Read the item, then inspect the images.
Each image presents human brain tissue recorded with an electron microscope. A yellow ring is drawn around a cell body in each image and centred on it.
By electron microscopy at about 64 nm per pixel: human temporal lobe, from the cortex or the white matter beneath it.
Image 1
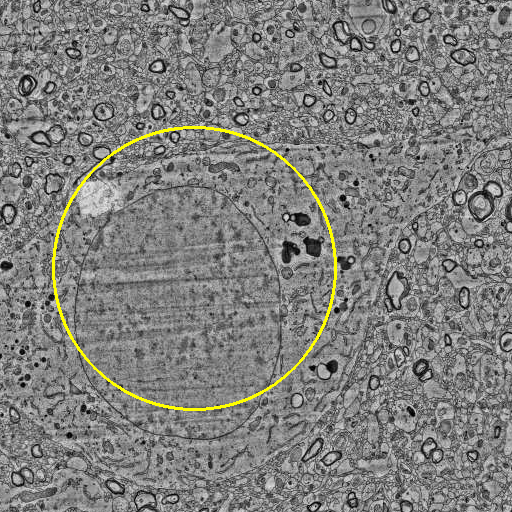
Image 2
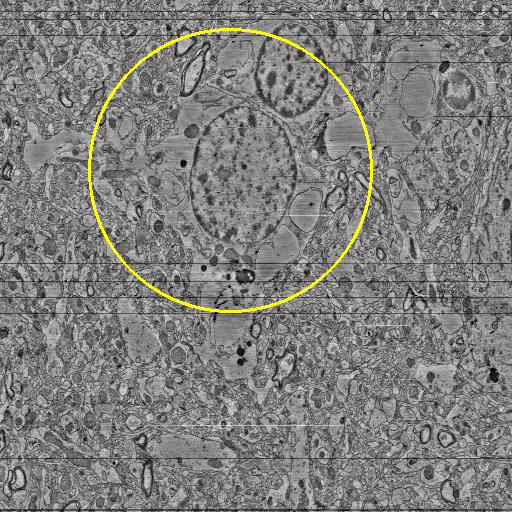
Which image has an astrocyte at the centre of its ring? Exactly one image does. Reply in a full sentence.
The ring in Image 2 is centred on it.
